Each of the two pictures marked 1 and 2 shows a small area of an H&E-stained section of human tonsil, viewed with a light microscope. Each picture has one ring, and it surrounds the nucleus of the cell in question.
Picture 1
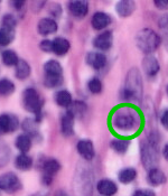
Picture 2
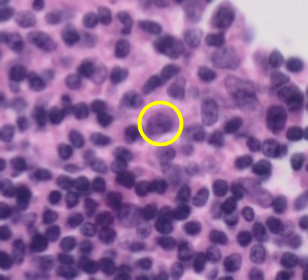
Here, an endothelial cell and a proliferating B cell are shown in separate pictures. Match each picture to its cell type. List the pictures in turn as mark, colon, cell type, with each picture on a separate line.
1: endothelial cell
2: proliferating B cell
